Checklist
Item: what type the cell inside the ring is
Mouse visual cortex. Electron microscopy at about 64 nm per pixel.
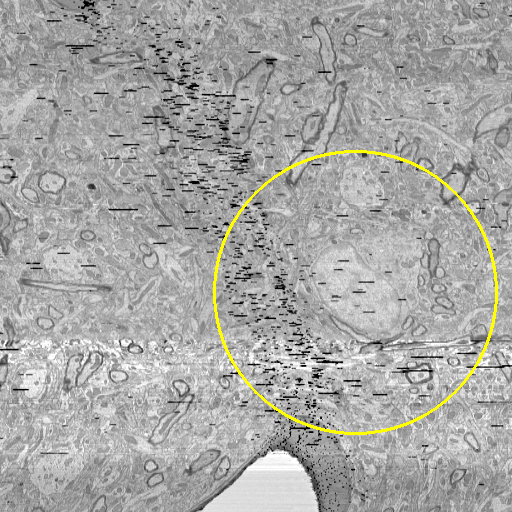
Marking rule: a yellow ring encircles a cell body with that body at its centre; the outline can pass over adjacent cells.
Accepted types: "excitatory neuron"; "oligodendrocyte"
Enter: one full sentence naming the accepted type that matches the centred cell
The entry is that an oligodendrocyte lies at the centre of the yellow ring.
